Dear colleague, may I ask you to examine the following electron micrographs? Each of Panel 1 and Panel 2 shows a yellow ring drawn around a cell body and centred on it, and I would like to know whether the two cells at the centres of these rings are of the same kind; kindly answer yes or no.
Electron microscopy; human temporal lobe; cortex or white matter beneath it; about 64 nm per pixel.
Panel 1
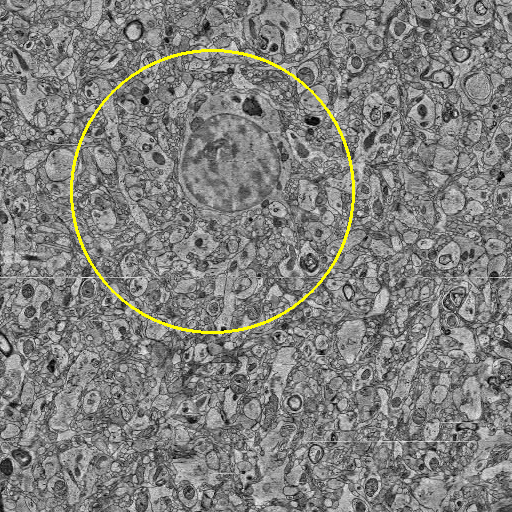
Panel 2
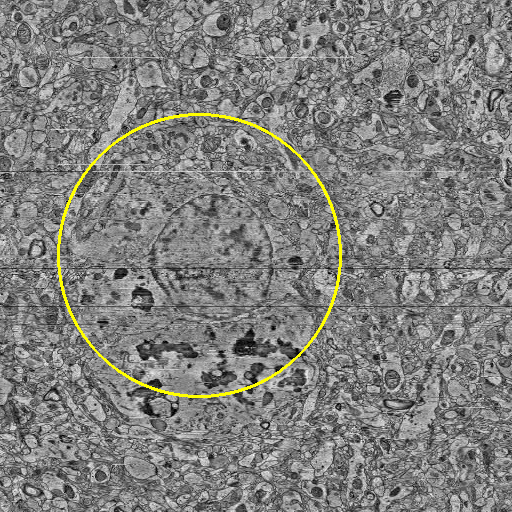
no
